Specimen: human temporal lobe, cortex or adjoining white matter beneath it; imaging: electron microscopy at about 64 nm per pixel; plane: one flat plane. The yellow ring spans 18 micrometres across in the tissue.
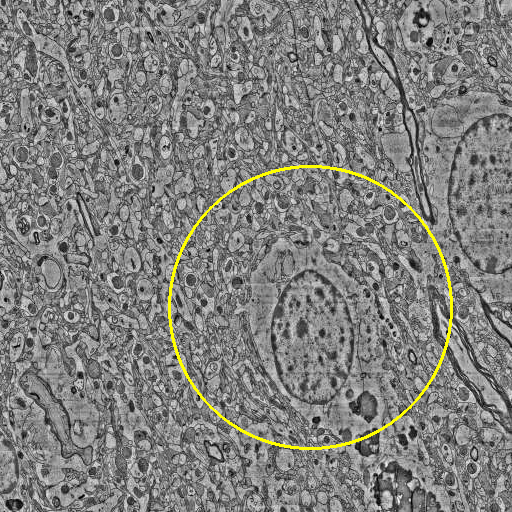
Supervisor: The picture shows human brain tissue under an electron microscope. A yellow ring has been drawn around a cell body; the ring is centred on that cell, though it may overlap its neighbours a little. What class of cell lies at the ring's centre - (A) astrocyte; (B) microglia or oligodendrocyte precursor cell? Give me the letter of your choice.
A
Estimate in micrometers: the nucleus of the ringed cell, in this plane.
In this plane the nucleus is clearly longer than it is wide: roughly 8 by 5 micrometres.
